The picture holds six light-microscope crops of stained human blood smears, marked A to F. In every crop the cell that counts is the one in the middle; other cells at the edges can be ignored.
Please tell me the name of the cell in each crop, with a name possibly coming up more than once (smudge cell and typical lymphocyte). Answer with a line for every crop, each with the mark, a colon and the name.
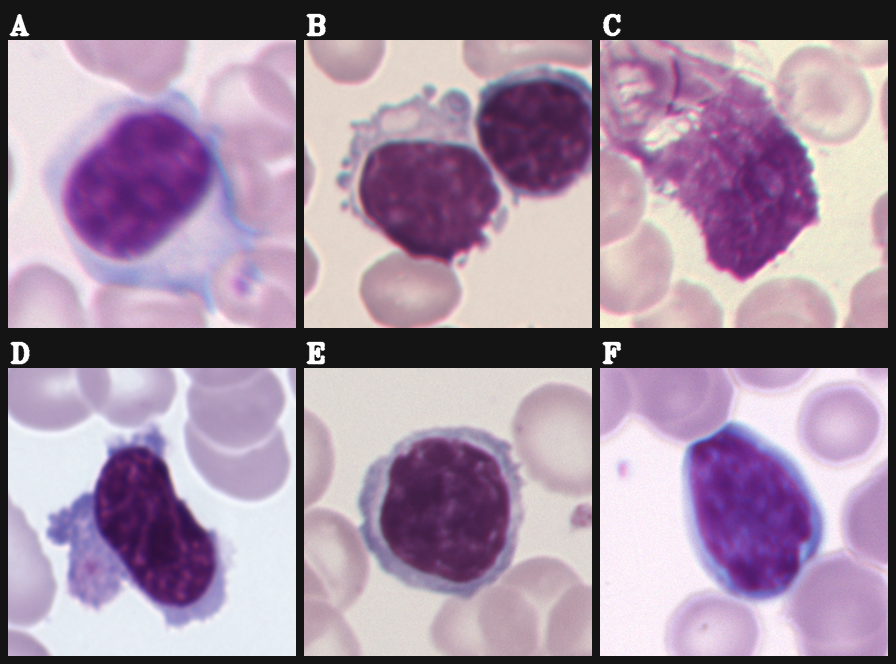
A: typical lymphocyte
B: typical lymphocyte
C: smudge cell
D: typical lymphocyte
E: typical lymphocyte
F: typical lymphocyte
